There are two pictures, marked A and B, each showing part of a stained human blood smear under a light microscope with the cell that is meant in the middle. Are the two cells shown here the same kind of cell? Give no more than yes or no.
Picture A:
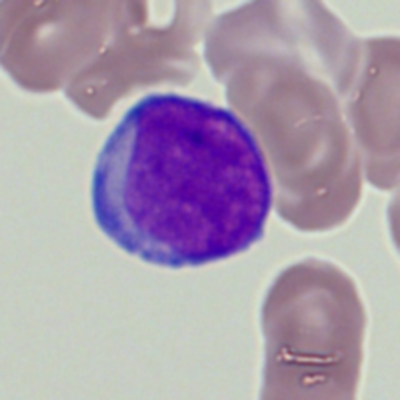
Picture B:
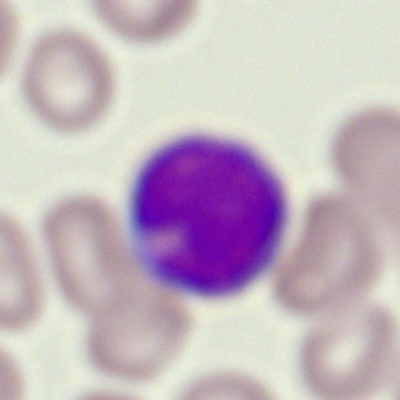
yes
